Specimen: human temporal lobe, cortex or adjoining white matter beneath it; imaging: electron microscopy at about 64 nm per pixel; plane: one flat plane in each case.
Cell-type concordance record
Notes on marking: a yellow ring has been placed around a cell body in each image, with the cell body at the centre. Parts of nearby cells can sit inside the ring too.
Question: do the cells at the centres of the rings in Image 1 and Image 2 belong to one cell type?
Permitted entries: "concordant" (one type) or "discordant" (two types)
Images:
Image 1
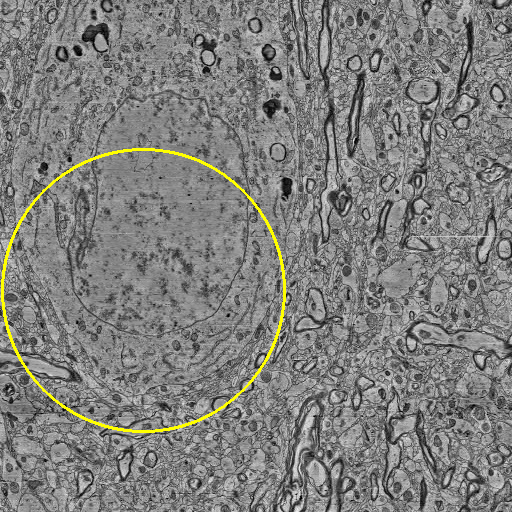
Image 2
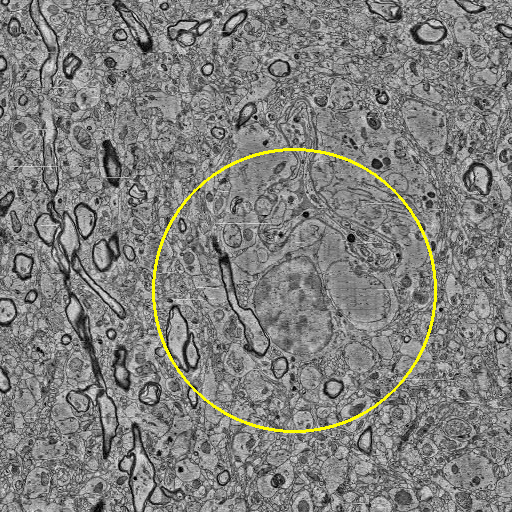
discordant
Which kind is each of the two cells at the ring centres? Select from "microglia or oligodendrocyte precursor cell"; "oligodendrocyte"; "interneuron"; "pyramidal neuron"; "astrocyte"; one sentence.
The cell at the centre of the ring is a pyramidal neuron in the first picture and an oligodendrocyte in the second.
